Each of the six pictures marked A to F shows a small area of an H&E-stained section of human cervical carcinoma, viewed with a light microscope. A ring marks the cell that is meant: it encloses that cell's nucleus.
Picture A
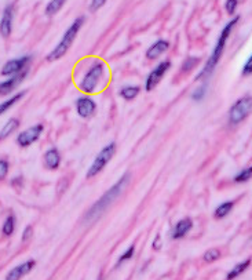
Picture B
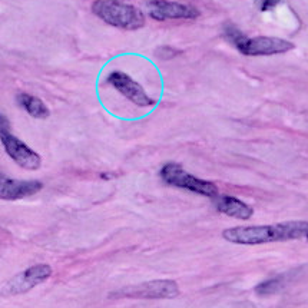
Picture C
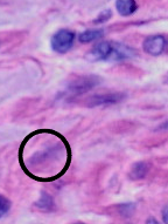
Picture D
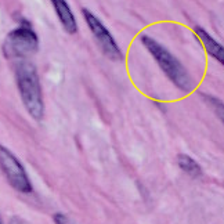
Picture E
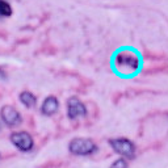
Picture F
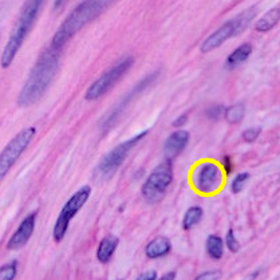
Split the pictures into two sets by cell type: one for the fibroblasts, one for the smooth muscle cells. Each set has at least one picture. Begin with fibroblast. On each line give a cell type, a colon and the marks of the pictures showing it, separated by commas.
fibroblast: B, C, D
smooth muscle cell: A, E, F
